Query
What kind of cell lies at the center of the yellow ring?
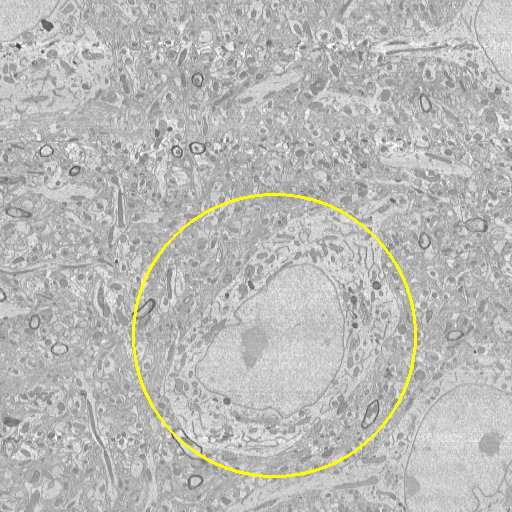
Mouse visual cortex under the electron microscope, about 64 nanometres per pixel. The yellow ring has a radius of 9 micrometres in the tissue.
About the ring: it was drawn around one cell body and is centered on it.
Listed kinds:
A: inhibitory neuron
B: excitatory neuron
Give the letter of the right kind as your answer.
A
